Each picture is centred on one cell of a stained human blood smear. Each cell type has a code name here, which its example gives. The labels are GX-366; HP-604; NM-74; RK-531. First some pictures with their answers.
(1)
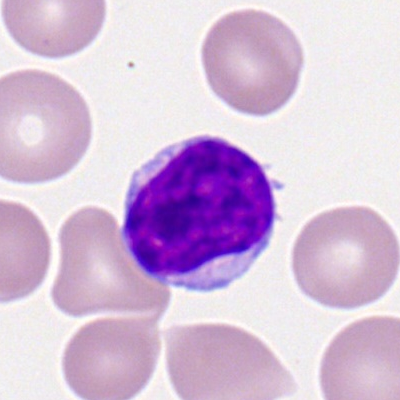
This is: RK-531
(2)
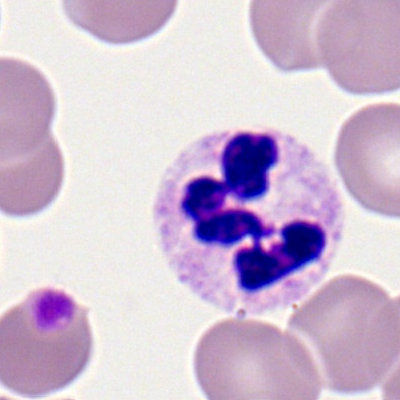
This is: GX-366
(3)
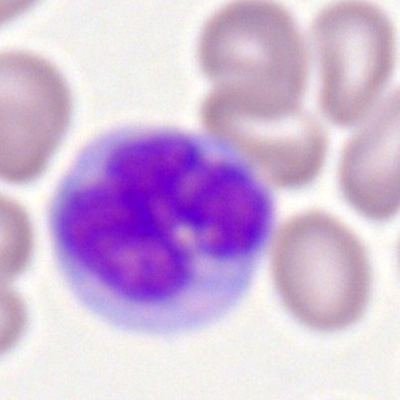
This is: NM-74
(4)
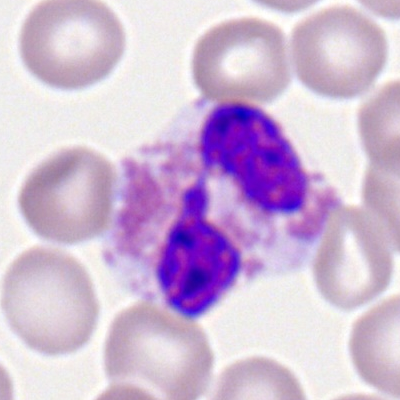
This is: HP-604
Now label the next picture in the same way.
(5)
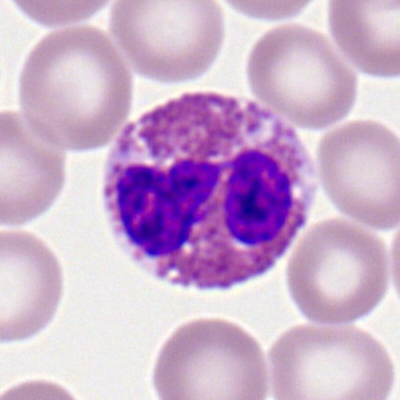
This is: HP-604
